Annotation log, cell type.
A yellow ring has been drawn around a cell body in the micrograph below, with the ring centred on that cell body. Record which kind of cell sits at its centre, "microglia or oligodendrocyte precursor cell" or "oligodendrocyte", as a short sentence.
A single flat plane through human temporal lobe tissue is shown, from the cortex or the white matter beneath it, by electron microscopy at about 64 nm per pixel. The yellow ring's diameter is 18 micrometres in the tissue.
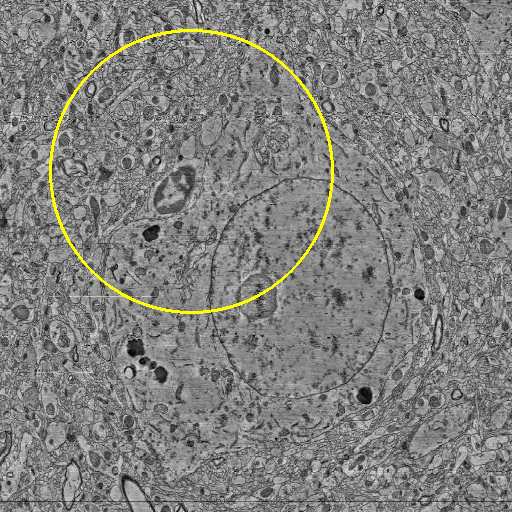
The cell at the centre of this ring is a microglial cell or oligodendrocyte precursor cell.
